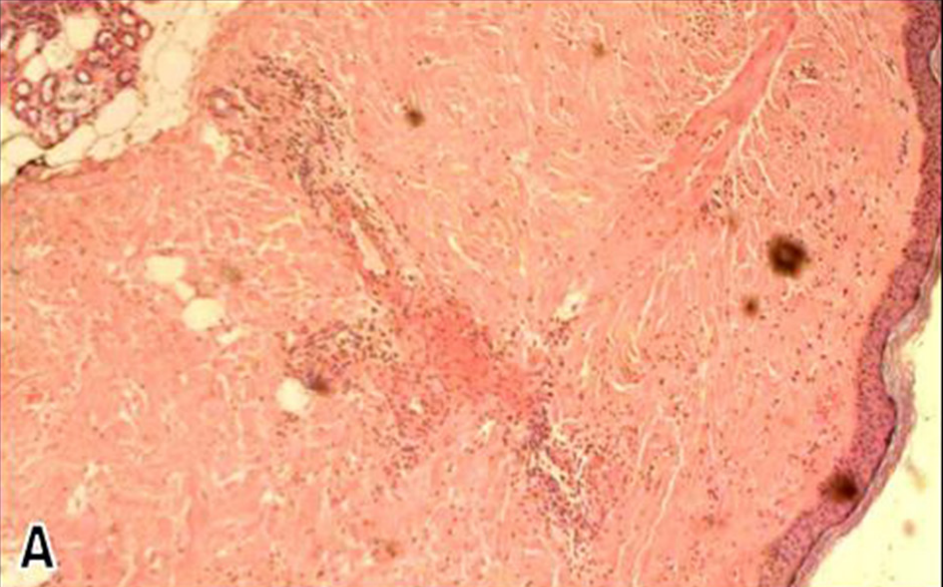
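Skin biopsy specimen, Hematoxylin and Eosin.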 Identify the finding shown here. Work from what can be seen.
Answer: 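Intradermal leucocytoclastic vasculitis. Dense clusters of small dark nuclei are gathered around vessels within the dermis. Smudgy deep pink material lies at the centre of the cellular cuffs. The epidermis at the right edge is thin and spared.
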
